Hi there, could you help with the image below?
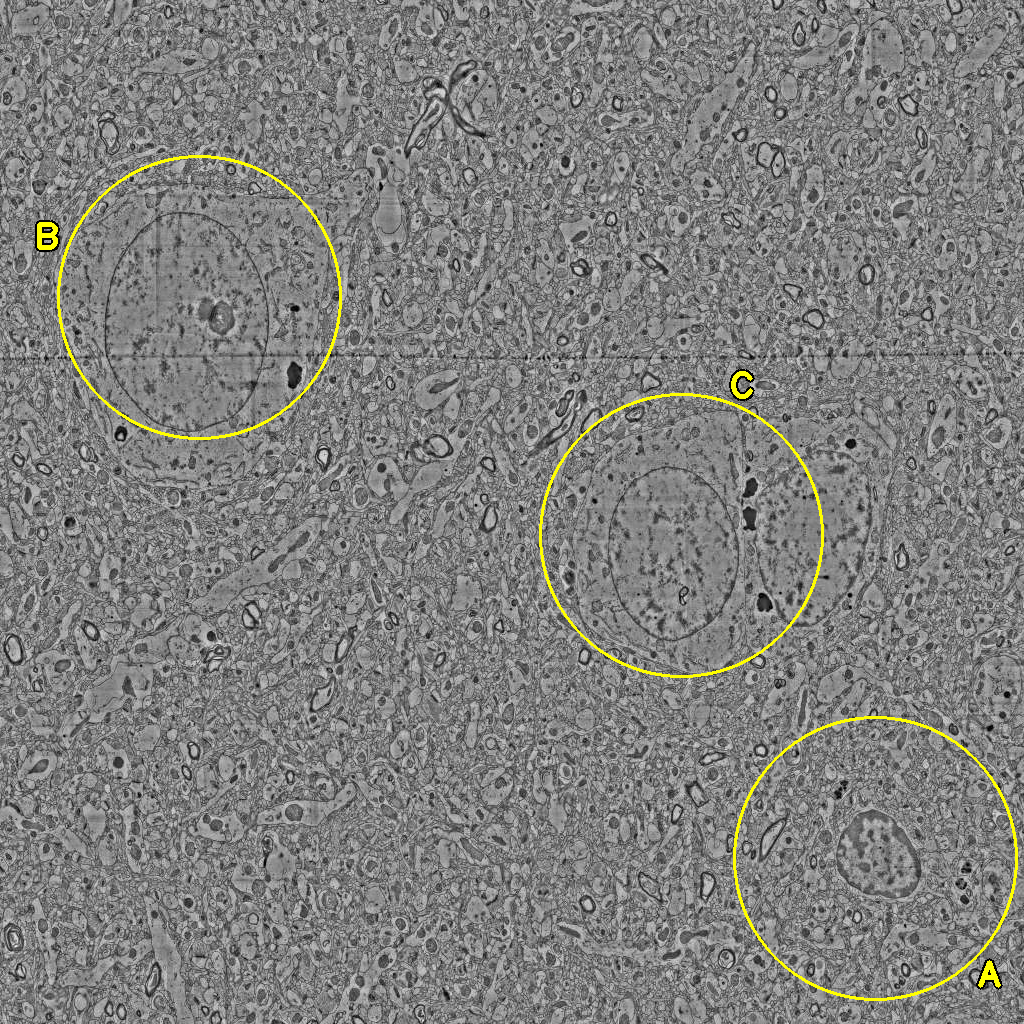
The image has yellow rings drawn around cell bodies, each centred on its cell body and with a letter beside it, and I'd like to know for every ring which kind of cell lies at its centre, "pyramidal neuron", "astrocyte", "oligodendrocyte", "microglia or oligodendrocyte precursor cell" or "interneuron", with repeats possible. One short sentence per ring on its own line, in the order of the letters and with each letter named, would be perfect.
Ring A is placed around a microglial cell or oligodendrocyte precursor cell.
Ring B is placed around a pyramidal neuron.
Ring C is placed around a pyramidal neuron.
